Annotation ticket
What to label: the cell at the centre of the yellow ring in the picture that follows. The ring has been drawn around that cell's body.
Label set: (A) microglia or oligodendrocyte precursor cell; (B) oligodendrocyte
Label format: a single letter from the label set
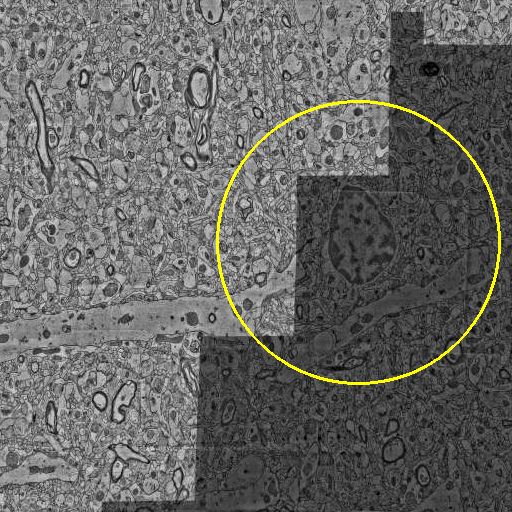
A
